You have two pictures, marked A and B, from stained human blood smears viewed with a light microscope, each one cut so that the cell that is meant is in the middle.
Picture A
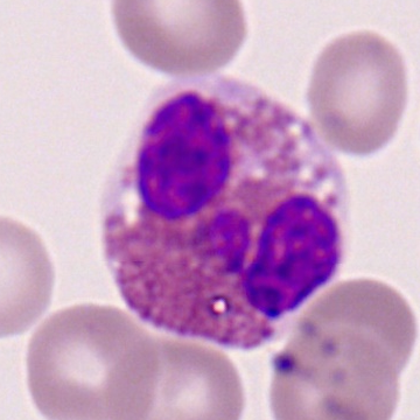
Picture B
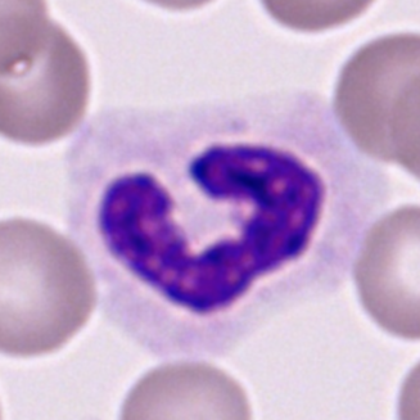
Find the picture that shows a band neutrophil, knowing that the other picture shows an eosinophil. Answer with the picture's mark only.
B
